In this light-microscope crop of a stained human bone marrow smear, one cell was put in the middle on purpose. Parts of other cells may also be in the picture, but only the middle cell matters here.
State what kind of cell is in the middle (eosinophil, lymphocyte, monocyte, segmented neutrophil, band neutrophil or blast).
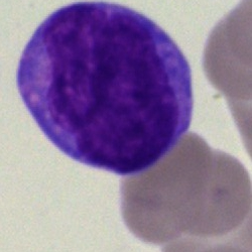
blast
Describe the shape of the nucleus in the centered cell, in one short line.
The nuclear material is gathered into one compact round, oval or kidney-shaped mass.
